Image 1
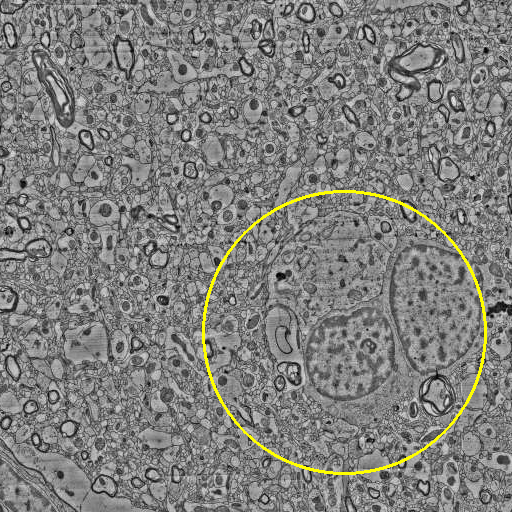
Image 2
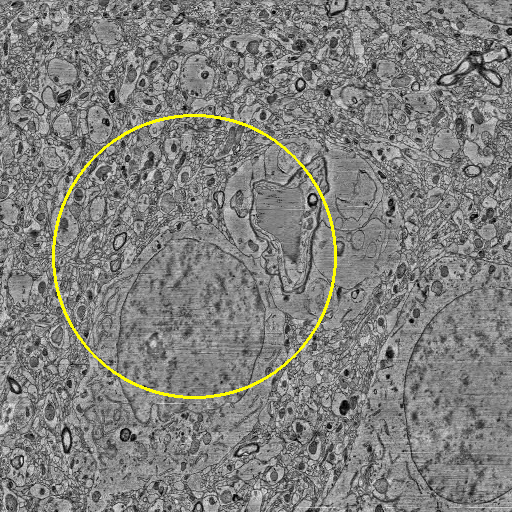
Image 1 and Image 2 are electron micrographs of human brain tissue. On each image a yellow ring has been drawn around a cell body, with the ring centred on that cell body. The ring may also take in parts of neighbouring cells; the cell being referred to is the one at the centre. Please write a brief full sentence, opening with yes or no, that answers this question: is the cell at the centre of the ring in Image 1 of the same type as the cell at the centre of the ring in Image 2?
No, the two cells are of two types.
